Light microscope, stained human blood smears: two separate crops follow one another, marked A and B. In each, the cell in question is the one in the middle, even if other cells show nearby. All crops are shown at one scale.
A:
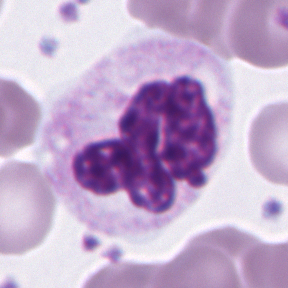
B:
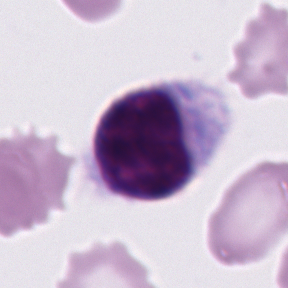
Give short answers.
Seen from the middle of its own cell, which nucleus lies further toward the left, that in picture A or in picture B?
B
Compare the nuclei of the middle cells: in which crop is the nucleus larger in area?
A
